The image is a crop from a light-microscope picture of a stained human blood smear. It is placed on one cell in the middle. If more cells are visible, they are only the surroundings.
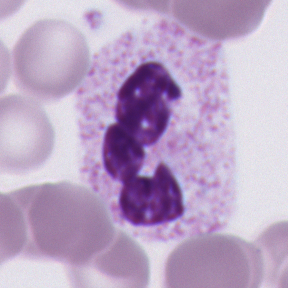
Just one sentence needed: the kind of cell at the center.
Regarding the central cell, it is a segmented neutrophil.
